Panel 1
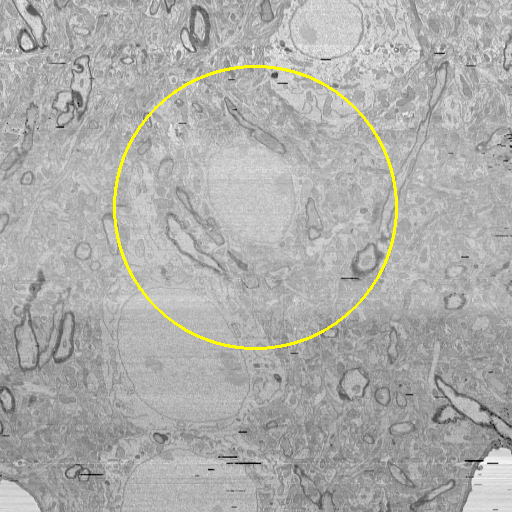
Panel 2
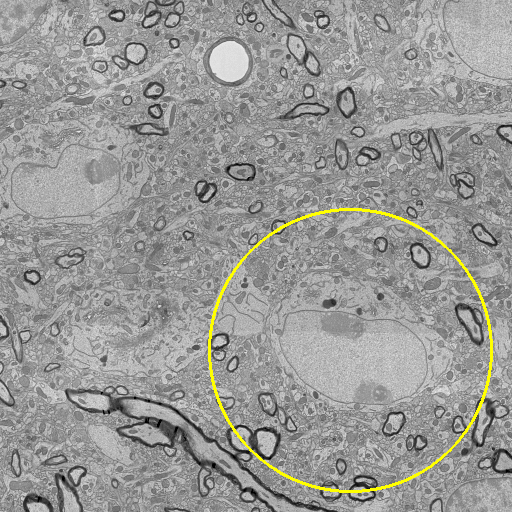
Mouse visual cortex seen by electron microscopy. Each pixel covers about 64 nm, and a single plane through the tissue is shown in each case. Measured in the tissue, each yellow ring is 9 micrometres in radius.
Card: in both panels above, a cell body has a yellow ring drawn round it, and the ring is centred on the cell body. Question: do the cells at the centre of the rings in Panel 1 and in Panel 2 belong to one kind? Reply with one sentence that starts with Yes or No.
No, the cells centred in the rings of Panel 1 and Panel 2 are two kinds of cell.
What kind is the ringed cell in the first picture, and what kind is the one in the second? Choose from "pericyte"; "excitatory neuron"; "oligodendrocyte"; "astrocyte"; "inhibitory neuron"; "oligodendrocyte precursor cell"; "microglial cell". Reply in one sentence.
The first cell is an astrocyte; the second is an excitatory neuron.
